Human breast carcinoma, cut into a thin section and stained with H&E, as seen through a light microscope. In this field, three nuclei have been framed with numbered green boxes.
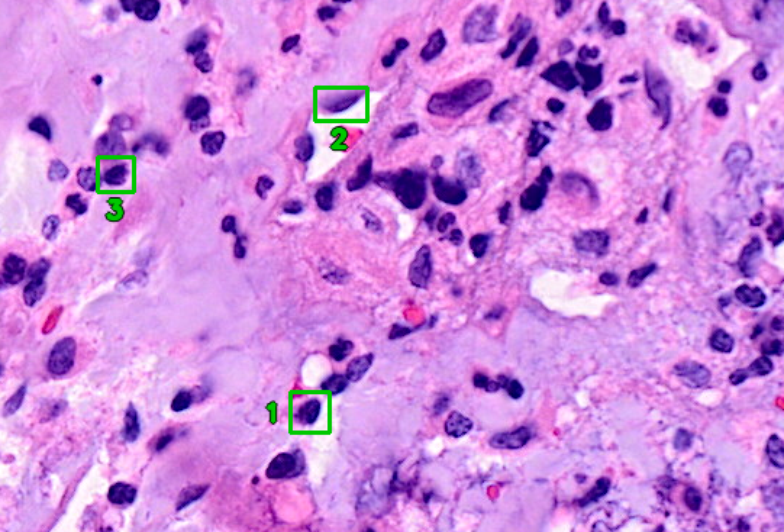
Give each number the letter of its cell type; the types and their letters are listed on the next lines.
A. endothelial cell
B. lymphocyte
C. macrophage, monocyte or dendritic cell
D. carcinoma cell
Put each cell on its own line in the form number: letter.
1: B
2: A
3: B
